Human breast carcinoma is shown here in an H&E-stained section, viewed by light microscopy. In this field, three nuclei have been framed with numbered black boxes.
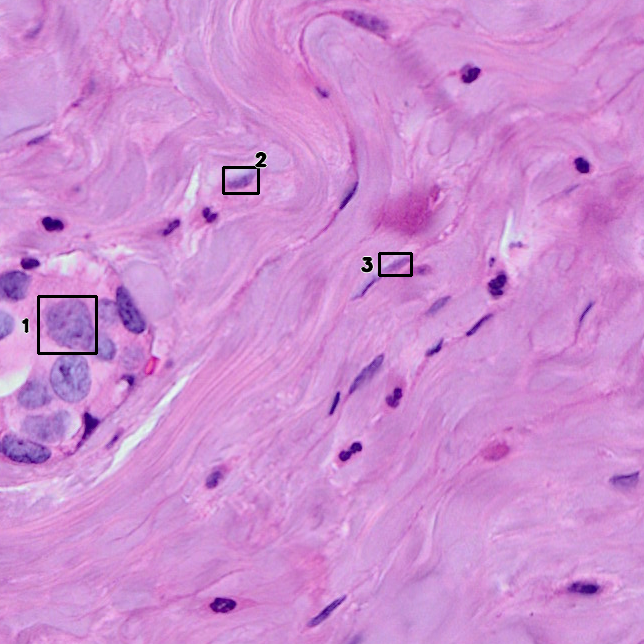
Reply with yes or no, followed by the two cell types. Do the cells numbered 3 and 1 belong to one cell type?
No, cell 1 is a carcinoma cell, whereas cell 3 is a fibroblast.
